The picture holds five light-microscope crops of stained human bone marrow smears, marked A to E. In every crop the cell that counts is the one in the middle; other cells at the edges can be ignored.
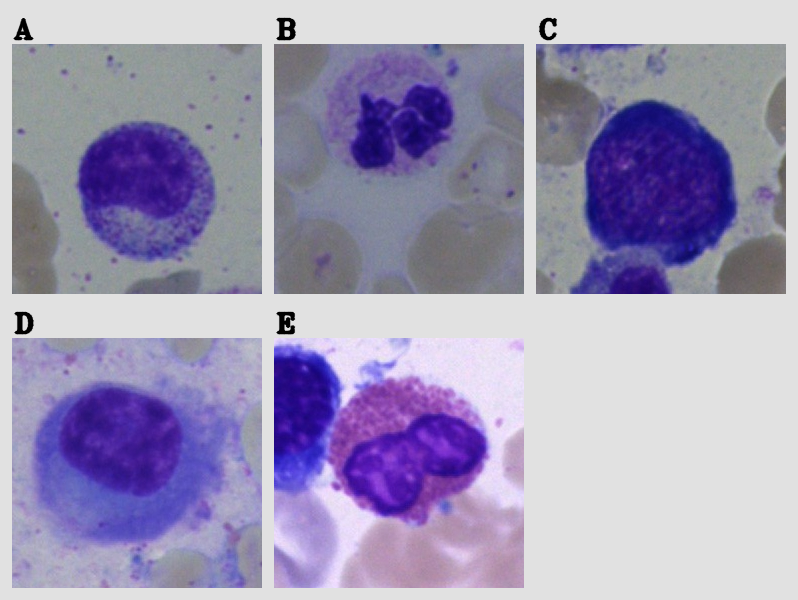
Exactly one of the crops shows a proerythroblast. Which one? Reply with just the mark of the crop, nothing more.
C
